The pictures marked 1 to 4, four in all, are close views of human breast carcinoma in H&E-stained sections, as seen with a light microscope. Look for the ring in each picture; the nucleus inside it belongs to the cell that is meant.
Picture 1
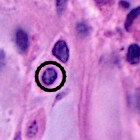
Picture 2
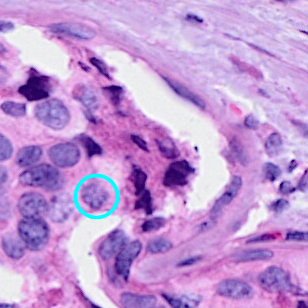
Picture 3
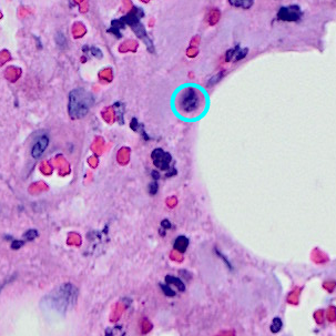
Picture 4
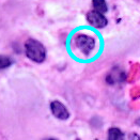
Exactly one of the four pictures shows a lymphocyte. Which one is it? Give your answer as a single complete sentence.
Picture 4 is the one that shows the lymphocyte.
